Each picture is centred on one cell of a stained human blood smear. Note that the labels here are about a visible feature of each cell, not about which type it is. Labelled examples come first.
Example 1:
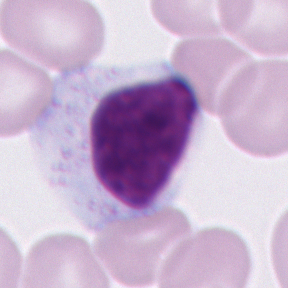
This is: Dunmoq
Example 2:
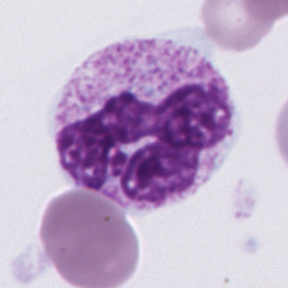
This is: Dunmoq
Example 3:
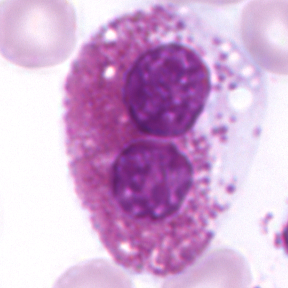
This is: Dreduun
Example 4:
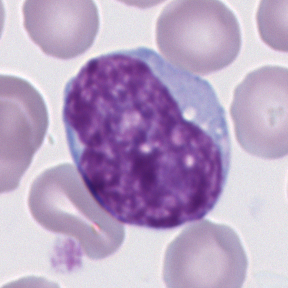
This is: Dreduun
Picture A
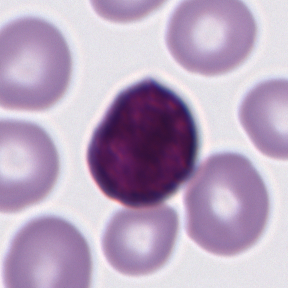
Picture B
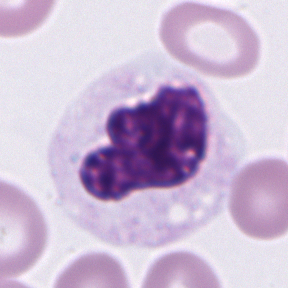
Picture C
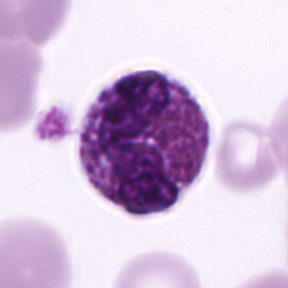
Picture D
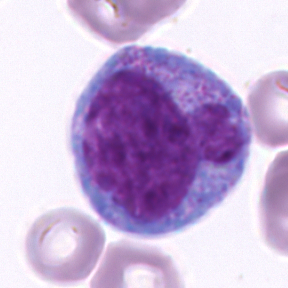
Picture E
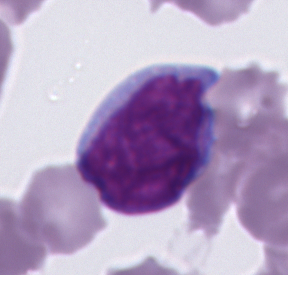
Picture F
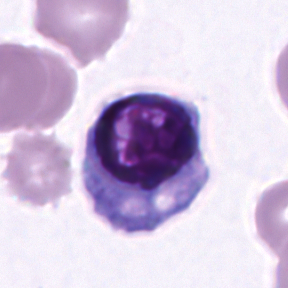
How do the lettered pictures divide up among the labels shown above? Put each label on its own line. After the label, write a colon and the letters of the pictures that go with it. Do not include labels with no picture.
Dunmoq: A, C, D, E
Dreduun: B, F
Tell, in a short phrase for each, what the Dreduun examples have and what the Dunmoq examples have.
In Dreduun: vacuoles present. In Dunmoq: no vacuoles.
